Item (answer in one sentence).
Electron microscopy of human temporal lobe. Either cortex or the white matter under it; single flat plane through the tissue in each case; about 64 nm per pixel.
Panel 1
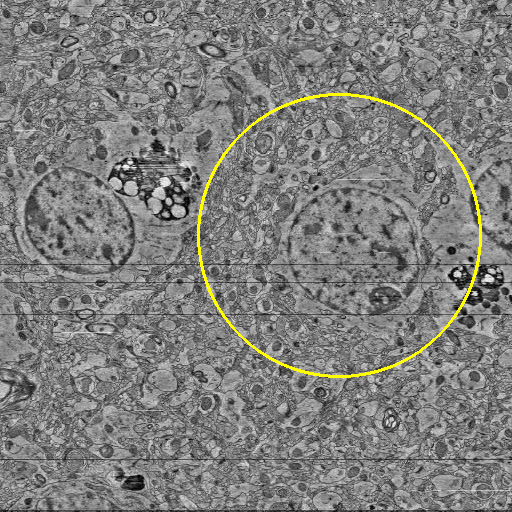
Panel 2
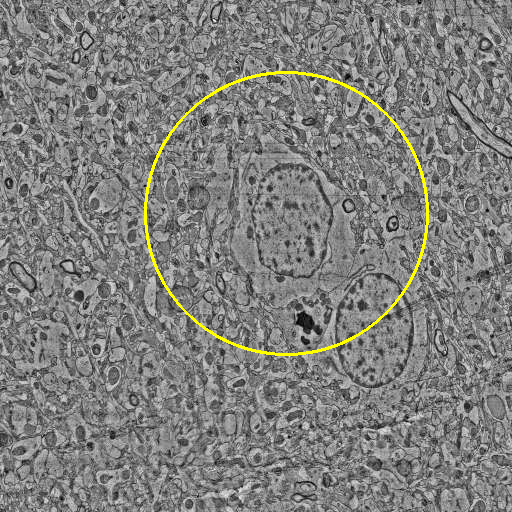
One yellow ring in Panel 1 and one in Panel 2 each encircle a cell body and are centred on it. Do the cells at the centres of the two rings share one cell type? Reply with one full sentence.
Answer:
Yes, Panel 1 and Panel 2 show cells of one type at the centres of their rings.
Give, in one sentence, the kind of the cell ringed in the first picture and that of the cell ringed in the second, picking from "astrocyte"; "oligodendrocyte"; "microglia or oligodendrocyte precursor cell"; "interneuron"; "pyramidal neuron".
In both pictures the ring is centred on an astrocyte.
